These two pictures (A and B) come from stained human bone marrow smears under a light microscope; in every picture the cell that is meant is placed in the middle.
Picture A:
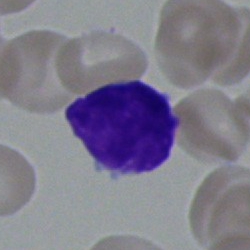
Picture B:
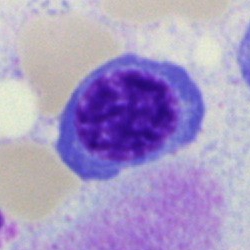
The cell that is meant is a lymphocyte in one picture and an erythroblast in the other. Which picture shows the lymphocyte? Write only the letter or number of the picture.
A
